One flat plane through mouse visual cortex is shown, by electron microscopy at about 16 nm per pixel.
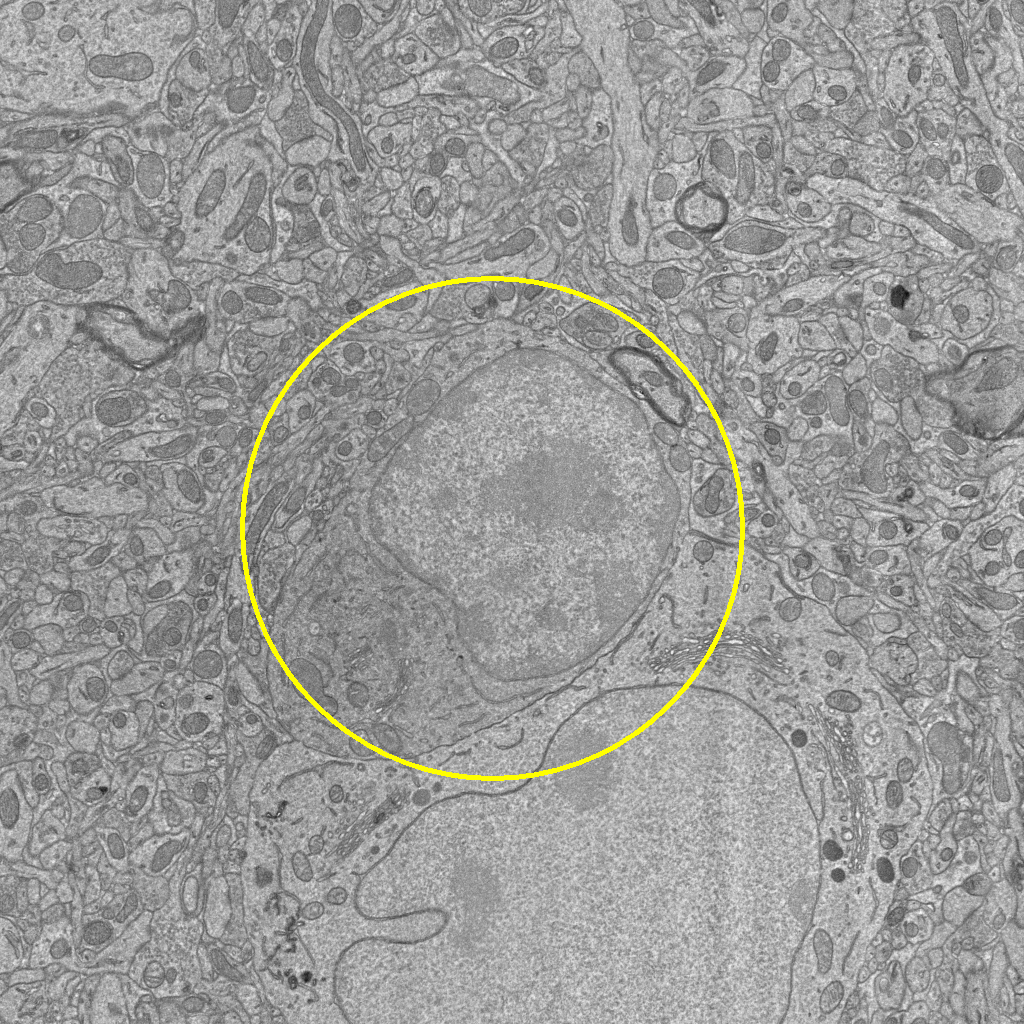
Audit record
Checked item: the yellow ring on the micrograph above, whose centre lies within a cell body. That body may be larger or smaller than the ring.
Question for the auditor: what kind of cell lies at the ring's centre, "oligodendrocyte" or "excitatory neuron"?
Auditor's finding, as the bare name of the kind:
oligodendrocyte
